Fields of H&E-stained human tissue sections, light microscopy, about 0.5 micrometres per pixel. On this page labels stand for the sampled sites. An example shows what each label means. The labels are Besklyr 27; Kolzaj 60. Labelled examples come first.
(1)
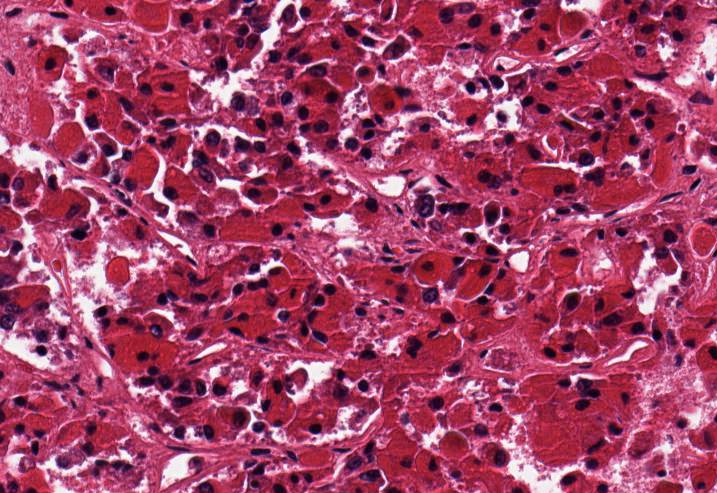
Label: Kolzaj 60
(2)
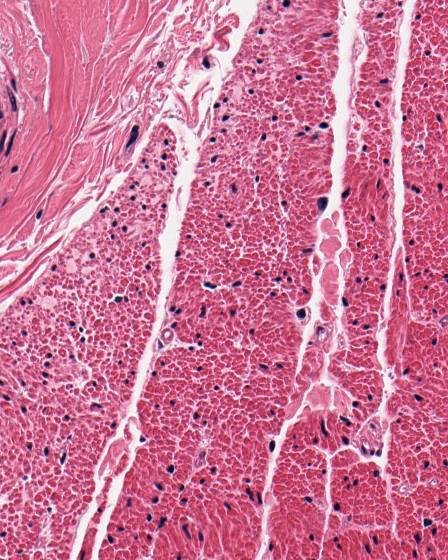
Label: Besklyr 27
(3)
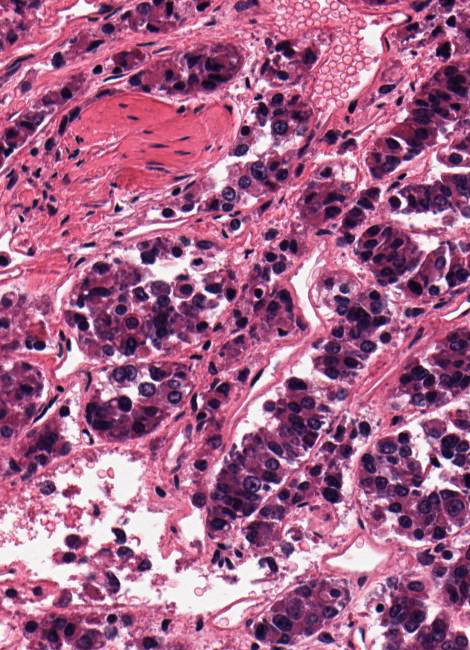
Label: Kolzaj 60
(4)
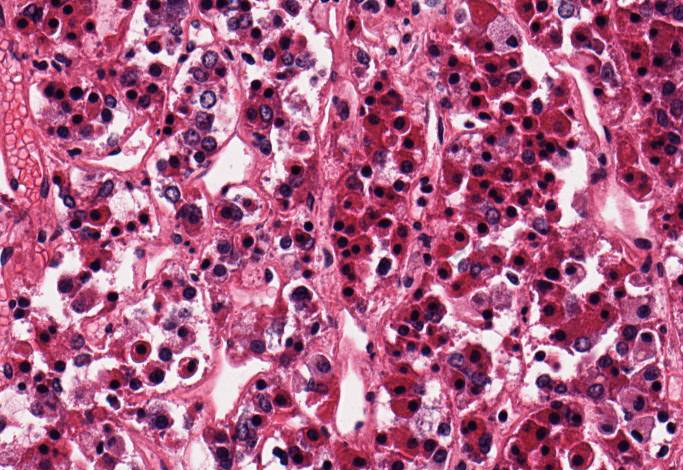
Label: Kolzaj 60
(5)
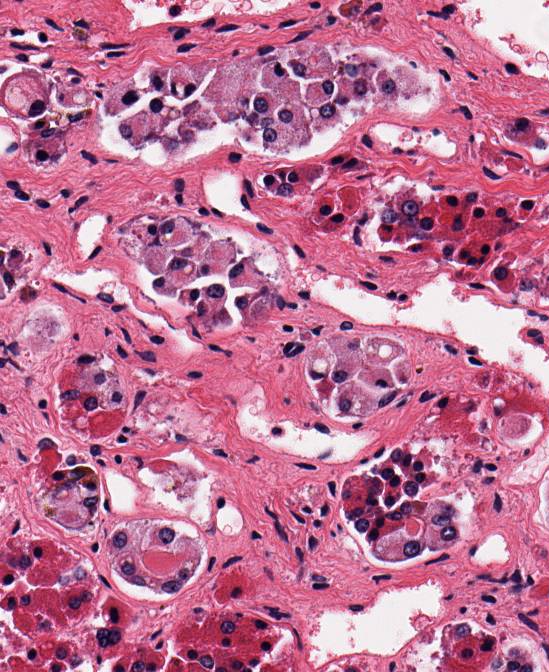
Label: Kolzaj 60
